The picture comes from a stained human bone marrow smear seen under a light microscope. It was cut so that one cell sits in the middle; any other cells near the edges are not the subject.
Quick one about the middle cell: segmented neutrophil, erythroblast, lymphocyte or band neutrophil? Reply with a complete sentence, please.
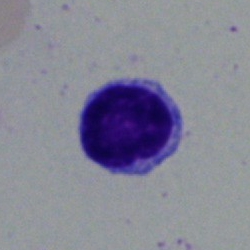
The centrally positioned cell in the crop represents a lymphocyte.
